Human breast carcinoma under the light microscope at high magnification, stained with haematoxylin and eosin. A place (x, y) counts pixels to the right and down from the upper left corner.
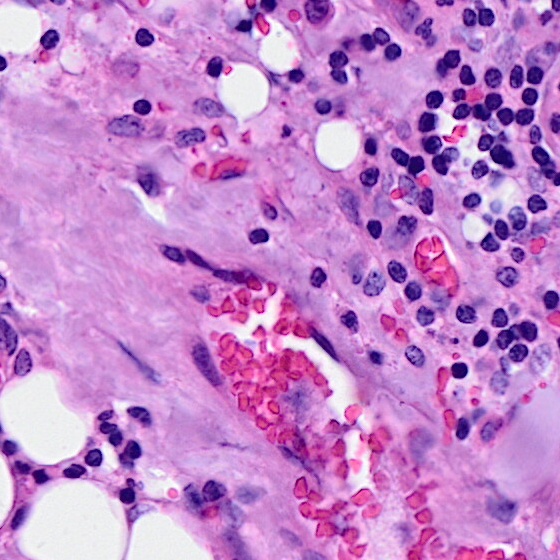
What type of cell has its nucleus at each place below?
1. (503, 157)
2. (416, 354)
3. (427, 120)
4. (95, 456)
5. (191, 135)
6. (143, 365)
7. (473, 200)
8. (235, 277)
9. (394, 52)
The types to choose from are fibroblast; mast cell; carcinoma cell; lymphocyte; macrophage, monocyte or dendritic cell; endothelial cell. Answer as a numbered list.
1. lymphocyte
2. mast cell
3. lymphocyte
4. lymphocyte
5. mast cell
6. fibroblast
7. lymphocyte
8. endothelial cell
9. lymphocyte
